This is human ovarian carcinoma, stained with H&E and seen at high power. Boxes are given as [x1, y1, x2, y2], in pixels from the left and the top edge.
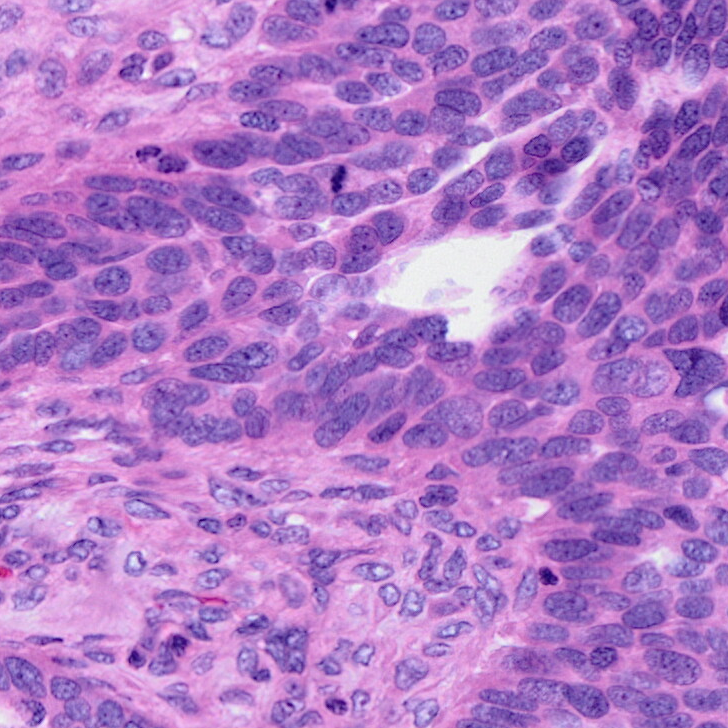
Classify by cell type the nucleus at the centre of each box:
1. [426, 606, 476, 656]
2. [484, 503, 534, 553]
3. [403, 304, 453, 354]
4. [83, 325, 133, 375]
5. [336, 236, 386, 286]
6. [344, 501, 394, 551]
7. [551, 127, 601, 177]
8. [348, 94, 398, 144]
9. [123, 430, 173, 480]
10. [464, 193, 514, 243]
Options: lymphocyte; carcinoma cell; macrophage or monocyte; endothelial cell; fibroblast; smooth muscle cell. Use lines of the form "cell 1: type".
cell 1: fibroblast
cell 2: fibroblast
cell 3: carcinoma cell
cell 4: carcinoma cell
cell 5: carcinoma cell
cell 6: fibroblast
cell 7: carcinoma cell
cell 8: carcinoma cell
cell 9: fibroblast
cell 10: carcinoma cell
